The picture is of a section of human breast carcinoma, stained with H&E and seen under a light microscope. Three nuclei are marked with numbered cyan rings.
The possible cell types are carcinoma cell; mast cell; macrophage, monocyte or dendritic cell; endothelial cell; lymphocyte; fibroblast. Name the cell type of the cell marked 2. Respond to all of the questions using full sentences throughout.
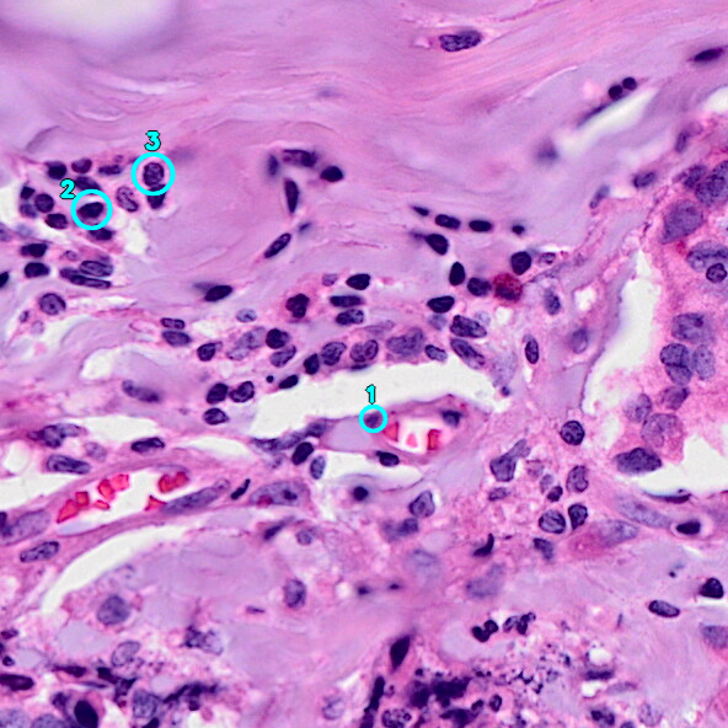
At number 2, the marked cell is a lymphocyte.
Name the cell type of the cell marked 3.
The label 3 in this section denotes a lymphocyte.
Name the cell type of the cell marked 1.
The cell given label 1 is an endothelial cell.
